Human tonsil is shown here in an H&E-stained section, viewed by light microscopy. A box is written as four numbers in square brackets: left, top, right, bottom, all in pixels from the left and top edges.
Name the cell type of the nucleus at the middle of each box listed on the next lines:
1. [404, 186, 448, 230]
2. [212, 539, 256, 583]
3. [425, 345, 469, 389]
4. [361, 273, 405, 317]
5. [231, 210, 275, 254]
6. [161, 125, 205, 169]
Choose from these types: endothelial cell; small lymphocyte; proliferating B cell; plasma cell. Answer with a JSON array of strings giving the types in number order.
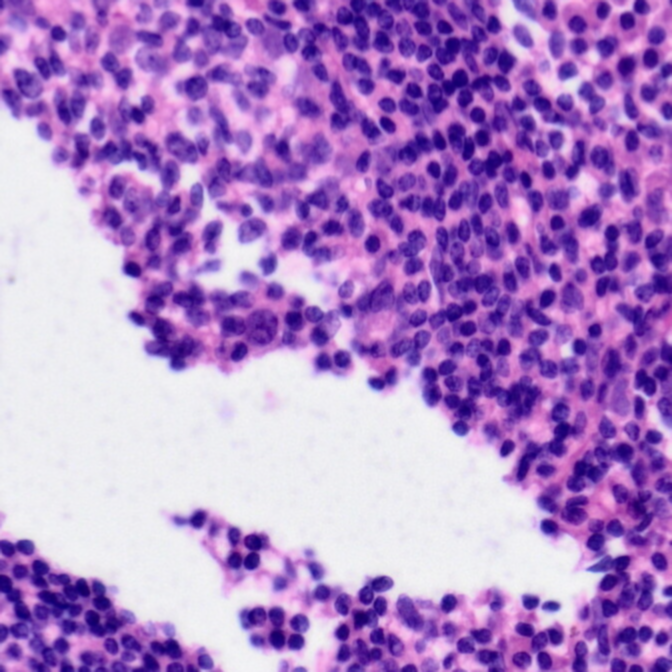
["small lymphocyte", "small lymphocyte", "small lymphocyte", "proliferating B cell", "proliferating B cell", "proliferating B cell"]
